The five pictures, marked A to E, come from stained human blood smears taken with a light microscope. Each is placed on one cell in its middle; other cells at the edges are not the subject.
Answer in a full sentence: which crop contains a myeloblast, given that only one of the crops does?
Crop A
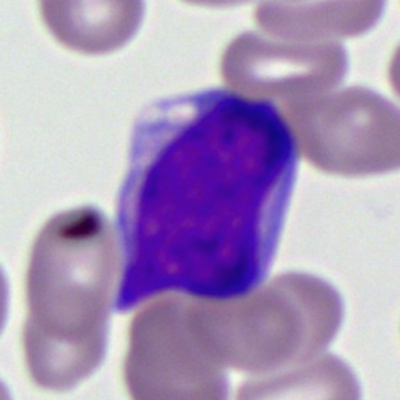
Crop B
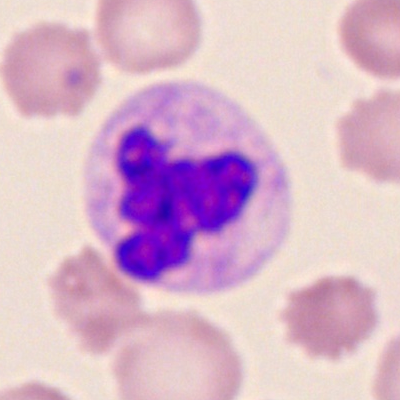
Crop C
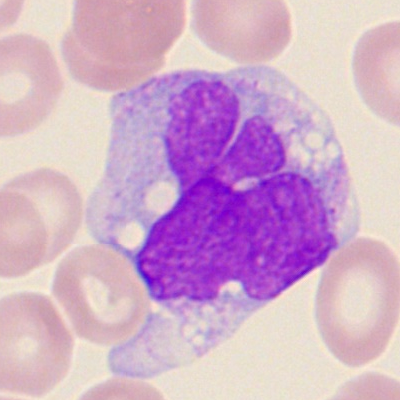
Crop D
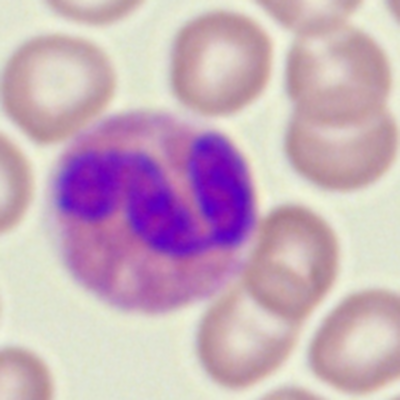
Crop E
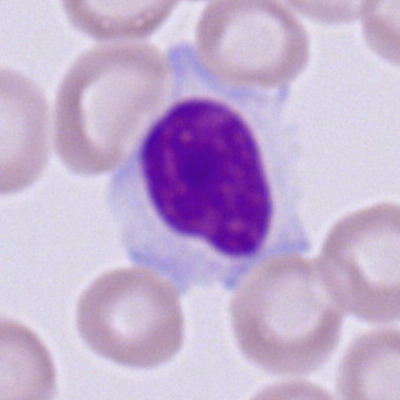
The crop marked A is the one that shows a myeloblast.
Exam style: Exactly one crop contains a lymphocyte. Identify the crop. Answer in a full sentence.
Here the crop that shows a lymphocyte is crop E.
